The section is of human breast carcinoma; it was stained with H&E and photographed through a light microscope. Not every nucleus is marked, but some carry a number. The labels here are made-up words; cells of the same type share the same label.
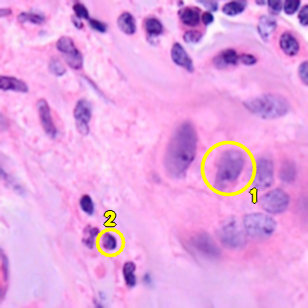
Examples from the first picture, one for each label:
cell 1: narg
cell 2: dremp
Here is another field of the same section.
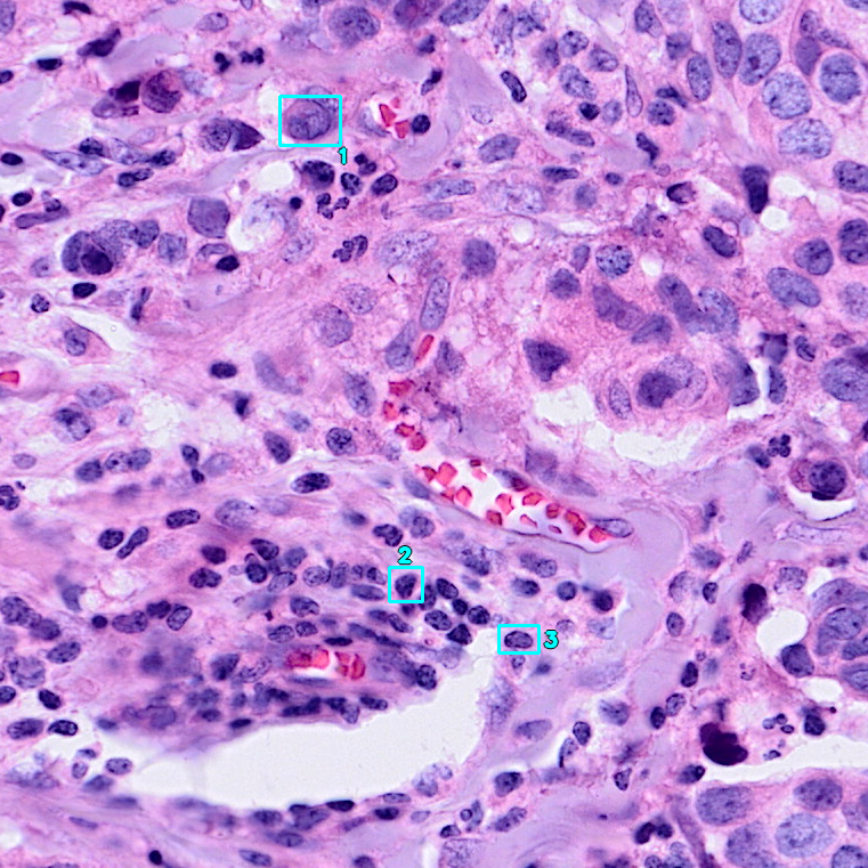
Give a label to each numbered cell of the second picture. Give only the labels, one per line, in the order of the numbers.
narg
dremp
dremp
